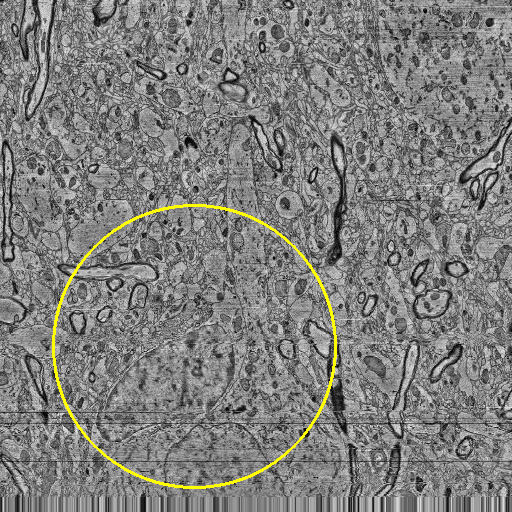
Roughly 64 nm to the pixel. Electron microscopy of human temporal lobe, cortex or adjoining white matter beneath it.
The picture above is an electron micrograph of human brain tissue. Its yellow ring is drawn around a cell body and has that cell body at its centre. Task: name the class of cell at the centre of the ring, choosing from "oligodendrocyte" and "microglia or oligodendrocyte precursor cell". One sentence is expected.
The ring surrounds the body of a microglial cell or oligodendrocyte precursor cell.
